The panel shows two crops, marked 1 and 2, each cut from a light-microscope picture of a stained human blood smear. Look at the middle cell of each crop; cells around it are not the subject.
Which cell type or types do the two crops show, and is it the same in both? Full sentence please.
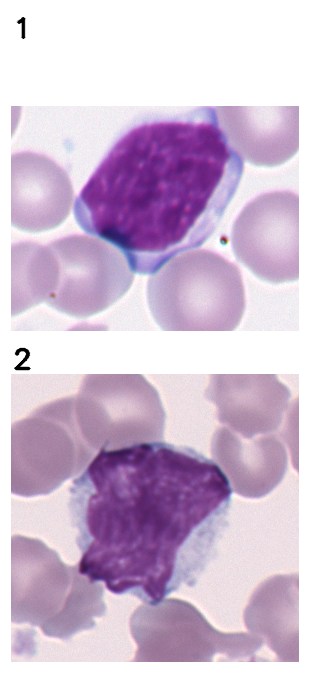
Yes, the cells under consideration in both crops are typical lymphocytes.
